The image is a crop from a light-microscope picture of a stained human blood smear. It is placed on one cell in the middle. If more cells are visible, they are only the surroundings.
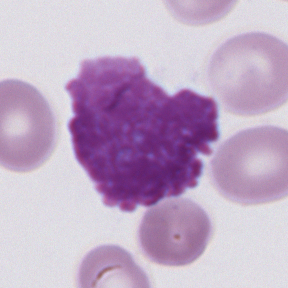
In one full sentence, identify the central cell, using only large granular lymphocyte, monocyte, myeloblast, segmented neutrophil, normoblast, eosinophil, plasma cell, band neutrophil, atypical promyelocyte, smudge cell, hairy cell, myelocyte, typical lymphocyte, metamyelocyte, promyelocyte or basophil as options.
The identification for the central cell is a smudge cell.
